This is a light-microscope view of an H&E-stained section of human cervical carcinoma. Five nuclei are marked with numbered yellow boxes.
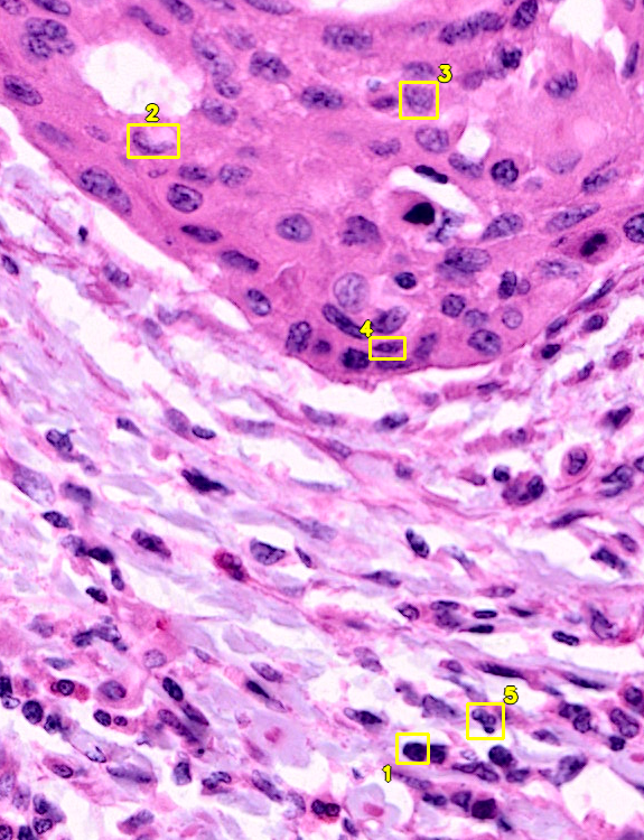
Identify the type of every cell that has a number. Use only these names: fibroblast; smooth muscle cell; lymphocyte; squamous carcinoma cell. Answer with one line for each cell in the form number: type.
1: lymphocyte
2: squamous carcinoma cell
3: squamous carcinoma cell
4: squamous carcinoma cell
5: lymphocyte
